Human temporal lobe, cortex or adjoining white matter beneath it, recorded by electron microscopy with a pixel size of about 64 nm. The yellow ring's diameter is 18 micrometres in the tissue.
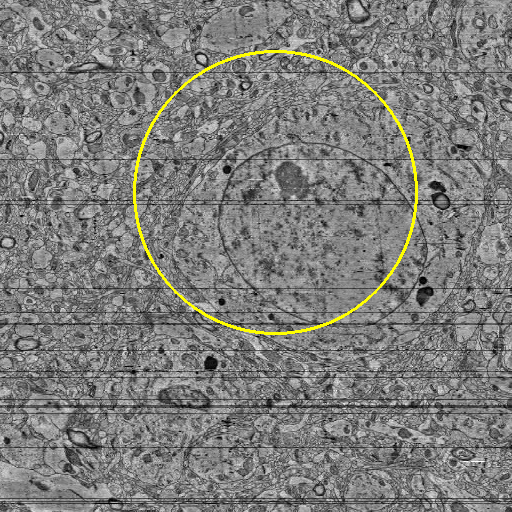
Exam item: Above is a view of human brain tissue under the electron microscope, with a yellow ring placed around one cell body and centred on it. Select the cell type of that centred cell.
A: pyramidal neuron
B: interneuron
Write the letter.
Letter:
A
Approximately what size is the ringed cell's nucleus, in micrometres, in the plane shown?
In this plane the nucleus measures roughly 14 by 11 micrometers.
